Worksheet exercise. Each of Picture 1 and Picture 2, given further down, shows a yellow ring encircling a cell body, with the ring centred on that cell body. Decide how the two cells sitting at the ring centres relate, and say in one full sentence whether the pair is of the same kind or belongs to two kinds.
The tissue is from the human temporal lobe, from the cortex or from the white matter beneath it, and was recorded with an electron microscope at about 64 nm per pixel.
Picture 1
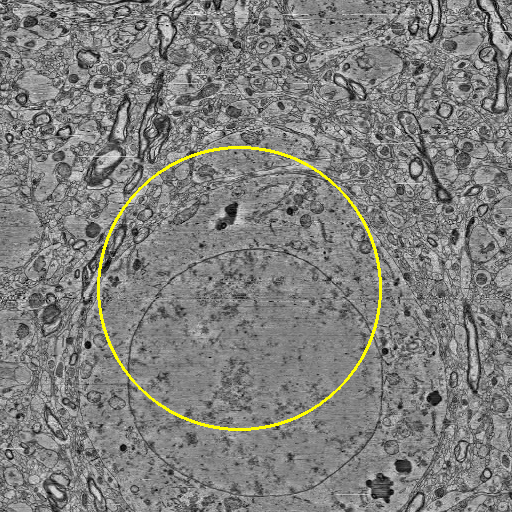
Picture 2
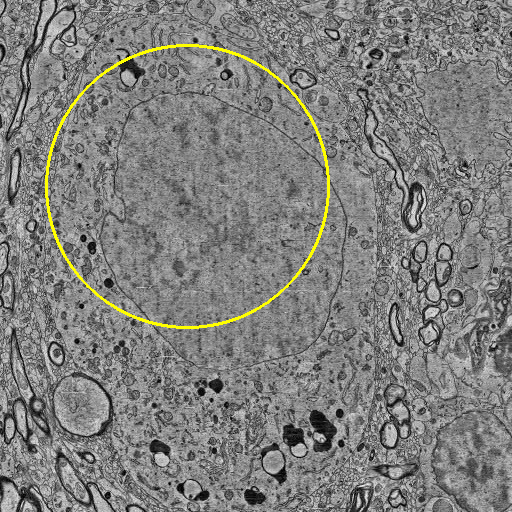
The cells at the ring centres in Picture 1 and Picture 2 are of the same kind.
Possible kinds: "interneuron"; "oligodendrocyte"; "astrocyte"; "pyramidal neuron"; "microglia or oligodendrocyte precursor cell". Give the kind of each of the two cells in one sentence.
Each one of the two ringed cells is a pyramidal neuron.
